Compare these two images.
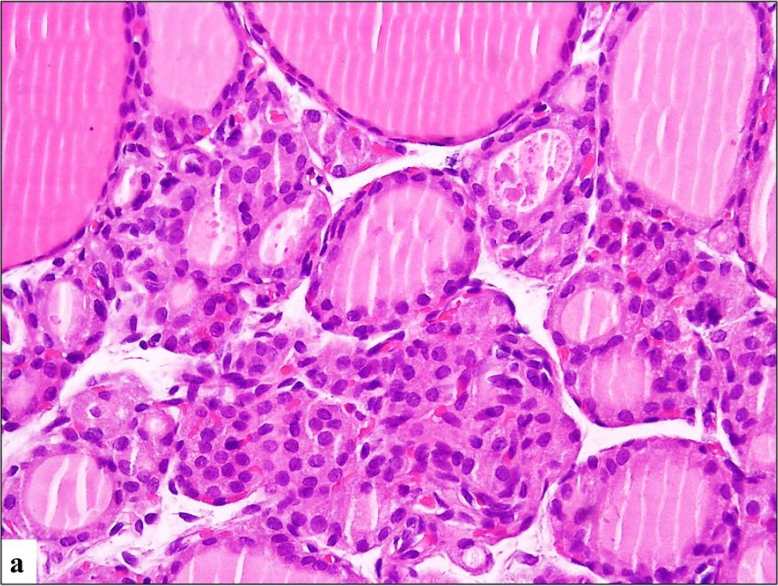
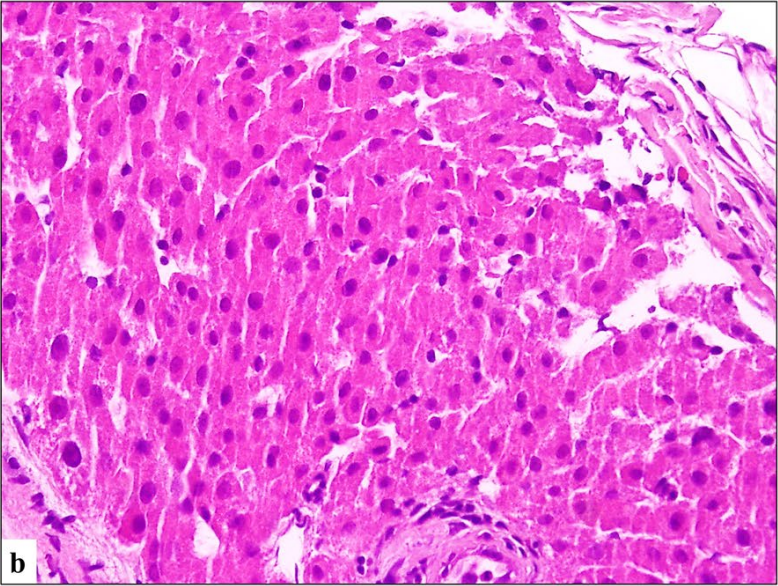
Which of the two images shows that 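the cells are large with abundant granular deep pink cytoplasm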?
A: The second image.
